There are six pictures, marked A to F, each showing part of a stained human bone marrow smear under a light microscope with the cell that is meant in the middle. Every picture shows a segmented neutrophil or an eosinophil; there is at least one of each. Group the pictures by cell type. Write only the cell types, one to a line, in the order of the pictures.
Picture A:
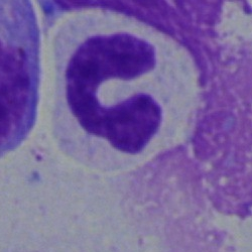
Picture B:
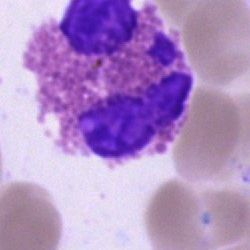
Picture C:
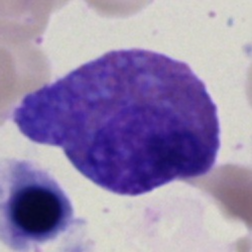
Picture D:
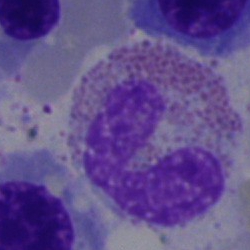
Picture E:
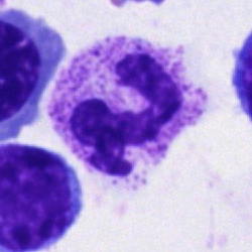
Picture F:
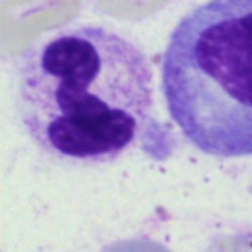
segmented neutrophil
eosinophil
eosinophil
eosinophil
segmented neutrophil
segmented neutrophil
